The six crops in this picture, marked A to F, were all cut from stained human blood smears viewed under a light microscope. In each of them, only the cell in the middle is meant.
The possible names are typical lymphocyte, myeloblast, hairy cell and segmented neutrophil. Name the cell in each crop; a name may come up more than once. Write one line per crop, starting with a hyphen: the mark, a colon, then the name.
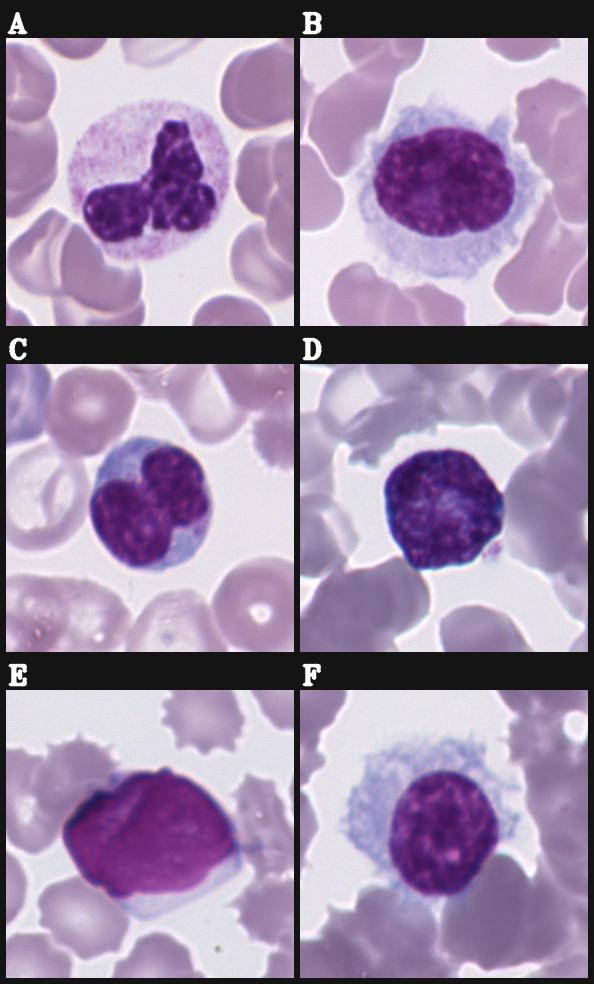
- A: segmented neutrophil
- B: hairy cell
- C: typical lymphocyte
- D: typical lymphocyte
- E: myeloblast
- F: hairy cell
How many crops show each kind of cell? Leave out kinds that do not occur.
hairy cell: 2
typical lymphocyte: 2
segmented neutrophil: 1
myeloblast: 1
